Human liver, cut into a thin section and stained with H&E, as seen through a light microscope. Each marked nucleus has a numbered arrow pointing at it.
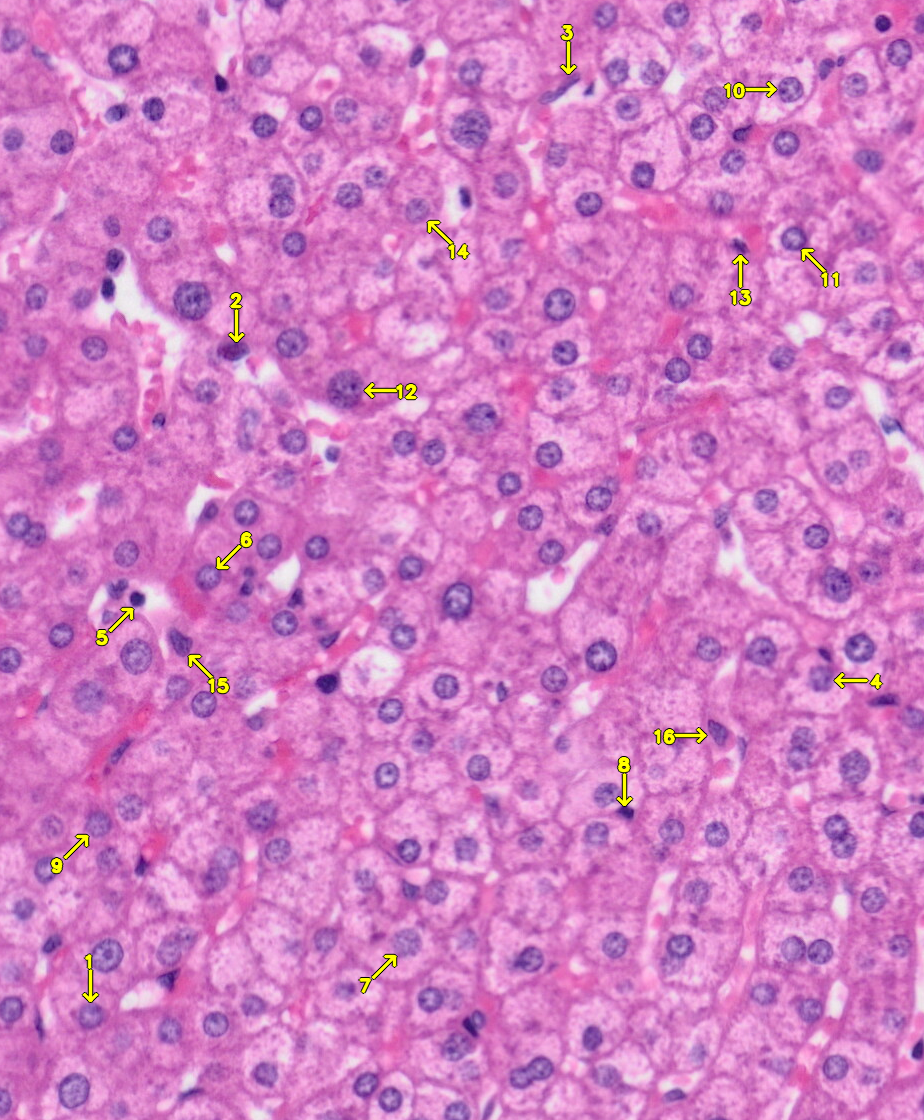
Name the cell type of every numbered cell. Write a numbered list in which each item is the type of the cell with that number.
1. hepatocyte
2. endothelial cell
3. Kupffer cell
4. hepatocyte
5. lymphocyte
6. hepatocyte
7. hepatocyte
8. fibroblast or stellate cell
9. hepatocyte
10. hepatocyte
11. hepatocyte
12. hepatocyte
13. endothelial cell
14. hepatocyte
15. Kupffer cell
16. Kupffer cell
